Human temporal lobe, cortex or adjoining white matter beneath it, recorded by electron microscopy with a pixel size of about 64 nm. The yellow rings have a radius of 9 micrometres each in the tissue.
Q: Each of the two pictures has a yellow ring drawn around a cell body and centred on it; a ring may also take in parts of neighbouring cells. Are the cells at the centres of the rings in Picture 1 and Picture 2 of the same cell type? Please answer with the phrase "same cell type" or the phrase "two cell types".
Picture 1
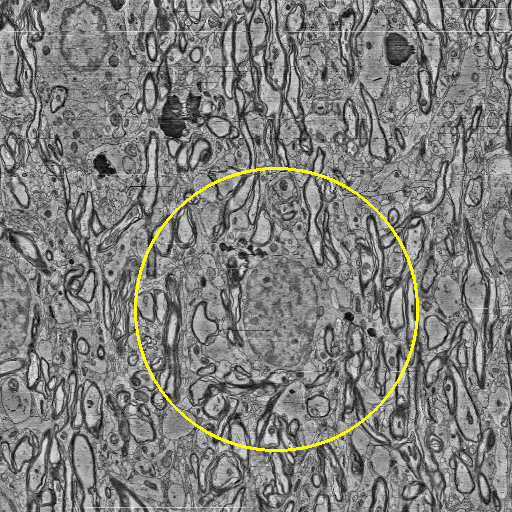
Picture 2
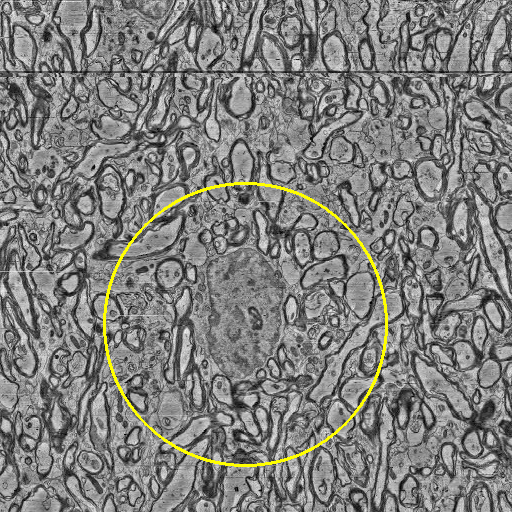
same cell type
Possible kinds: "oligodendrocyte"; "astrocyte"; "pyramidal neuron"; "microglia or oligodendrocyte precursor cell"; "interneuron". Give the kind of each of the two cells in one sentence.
Each of the two pictures has an oligodendrocyte at the ring centre.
